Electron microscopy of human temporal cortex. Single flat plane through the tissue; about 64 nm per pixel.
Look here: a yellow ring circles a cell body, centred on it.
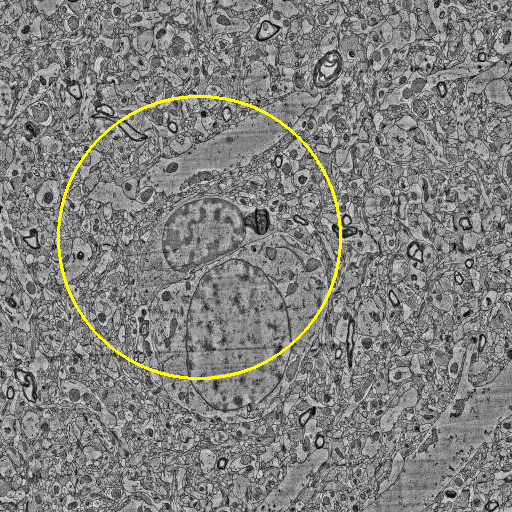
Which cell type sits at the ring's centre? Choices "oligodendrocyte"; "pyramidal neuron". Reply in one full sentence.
The cell at the centre of the yellow ring in the picture is an oligodendrocyte.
